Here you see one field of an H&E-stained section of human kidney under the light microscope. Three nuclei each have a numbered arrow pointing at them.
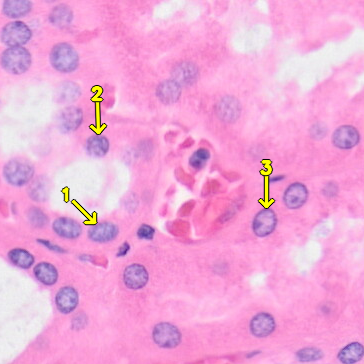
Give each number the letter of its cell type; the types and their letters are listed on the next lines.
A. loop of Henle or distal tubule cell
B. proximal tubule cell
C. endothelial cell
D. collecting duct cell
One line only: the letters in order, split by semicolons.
A; A; B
